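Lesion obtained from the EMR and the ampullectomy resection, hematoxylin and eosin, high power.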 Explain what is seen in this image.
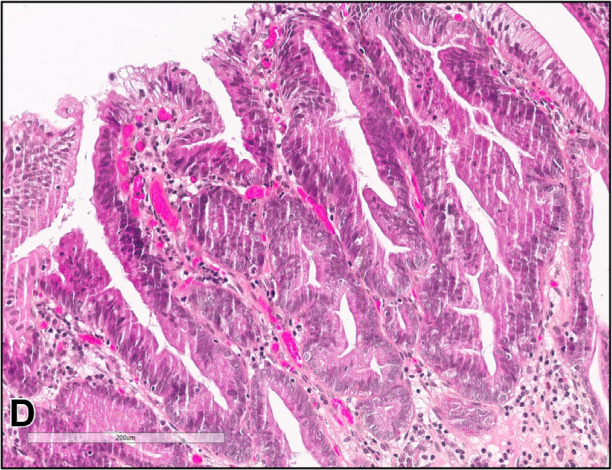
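This is dysplastic glandular epithelium forming long, closely packed finger-like fronds and slit-like glands separated by thin cores of pink stroma with small vessels. The columnar lining cells have enlarged, elongated, dark purple nuclei that are crowded and stratified at several levels instead of lying in a single basal row.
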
